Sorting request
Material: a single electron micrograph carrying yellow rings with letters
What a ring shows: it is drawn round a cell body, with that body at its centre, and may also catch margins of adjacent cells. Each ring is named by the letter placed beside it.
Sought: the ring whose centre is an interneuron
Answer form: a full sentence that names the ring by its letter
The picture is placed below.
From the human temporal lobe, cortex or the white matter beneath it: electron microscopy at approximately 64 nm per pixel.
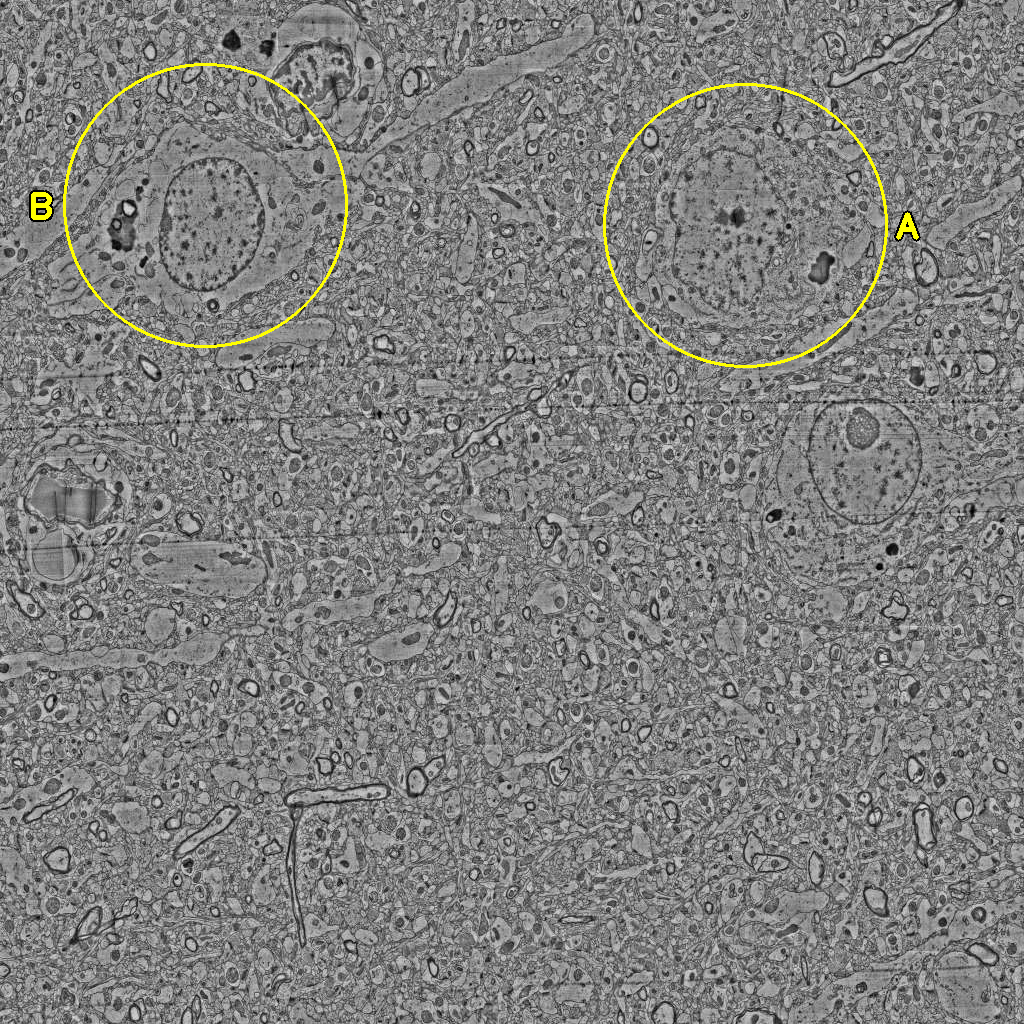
The ring centred on the cell asked for carries the letter A.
